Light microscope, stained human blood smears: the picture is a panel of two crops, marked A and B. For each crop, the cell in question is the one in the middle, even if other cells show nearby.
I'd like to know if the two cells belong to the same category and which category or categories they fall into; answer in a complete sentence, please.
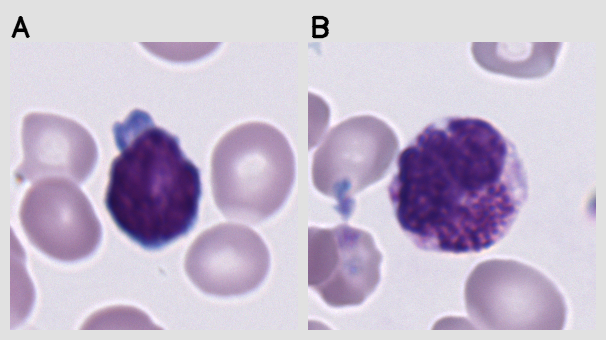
No, crop A carries a lymphocyte and crop B carries a basophil.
